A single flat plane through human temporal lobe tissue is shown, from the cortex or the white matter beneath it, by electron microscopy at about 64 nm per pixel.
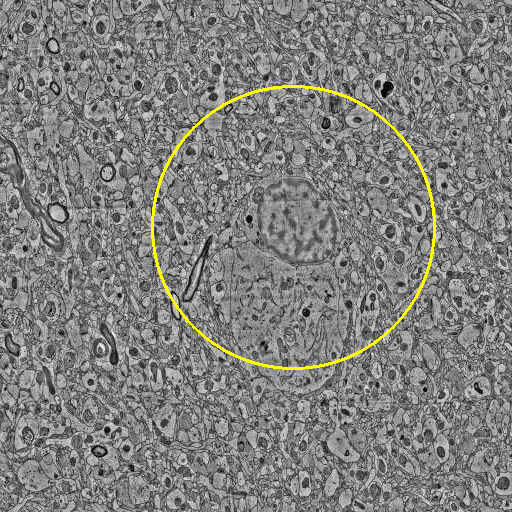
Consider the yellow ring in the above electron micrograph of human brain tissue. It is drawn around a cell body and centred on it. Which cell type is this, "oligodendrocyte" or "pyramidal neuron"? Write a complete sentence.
The cell in question is an oligodendrocyte.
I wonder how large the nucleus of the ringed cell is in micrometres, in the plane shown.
In this plane, the nucleus measures approximately 6 micrometres across.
